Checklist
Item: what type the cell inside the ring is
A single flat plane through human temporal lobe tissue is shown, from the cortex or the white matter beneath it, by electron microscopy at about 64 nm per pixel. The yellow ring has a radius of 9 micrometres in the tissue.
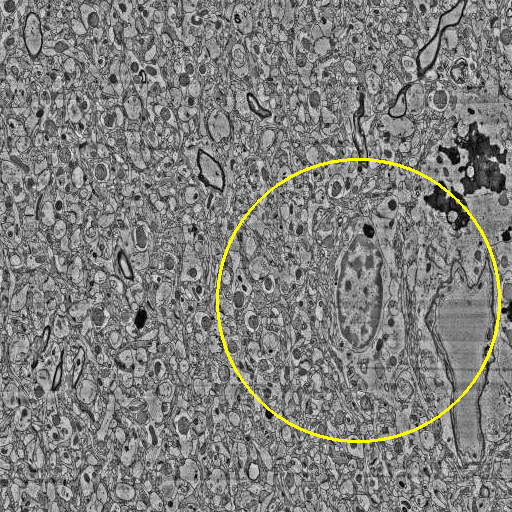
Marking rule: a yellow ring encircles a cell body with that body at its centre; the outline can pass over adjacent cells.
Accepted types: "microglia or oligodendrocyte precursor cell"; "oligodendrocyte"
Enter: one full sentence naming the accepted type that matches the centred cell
The entry is that a microglial cell or oligodendrocyte precursor cell lies at the centre of the yellow ring.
